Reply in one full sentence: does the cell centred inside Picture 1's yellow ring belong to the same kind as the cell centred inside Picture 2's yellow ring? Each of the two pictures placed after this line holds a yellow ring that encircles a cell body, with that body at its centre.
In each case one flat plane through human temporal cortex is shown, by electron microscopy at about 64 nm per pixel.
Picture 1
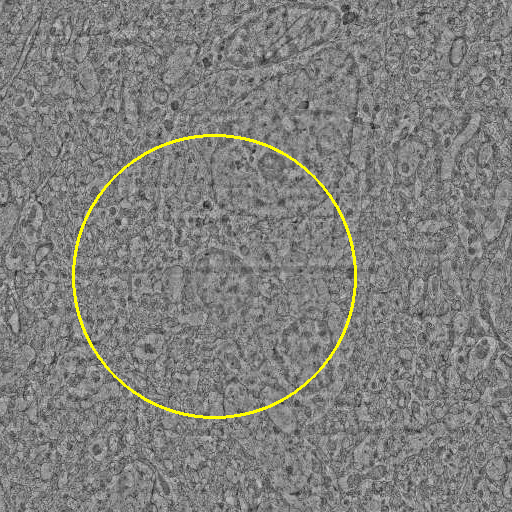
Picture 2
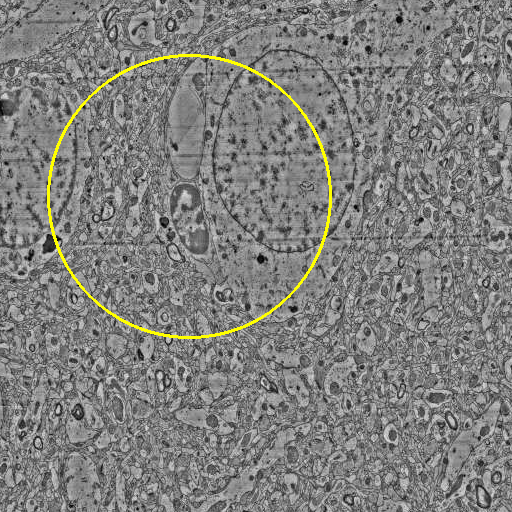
No, the ring-centred cells in Picture 1 and Picture 2 are of two separate kinds.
